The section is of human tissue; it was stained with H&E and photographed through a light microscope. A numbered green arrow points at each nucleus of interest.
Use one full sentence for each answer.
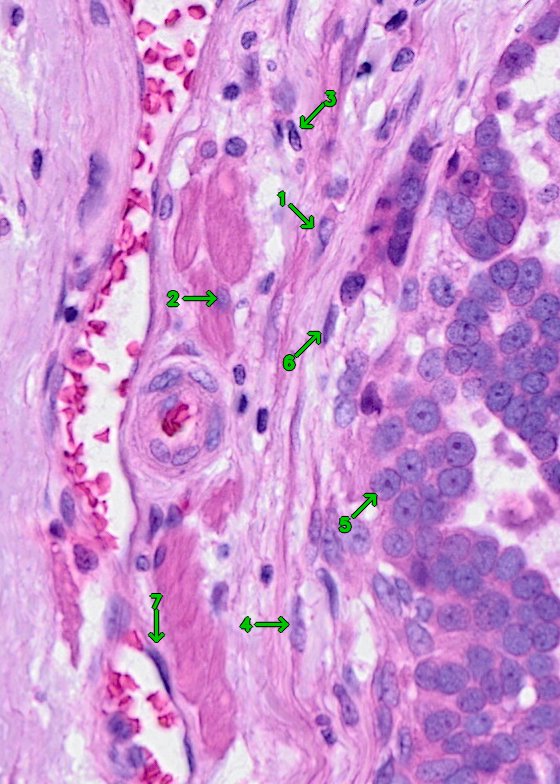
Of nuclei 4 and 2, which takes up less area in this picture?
Number 2 is smaller, since number 4 takes up about 3 times as much area.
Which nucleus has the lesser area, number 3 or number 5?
The smaller nucleus is 3, and 5 covers roughly 1.5 times its area.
